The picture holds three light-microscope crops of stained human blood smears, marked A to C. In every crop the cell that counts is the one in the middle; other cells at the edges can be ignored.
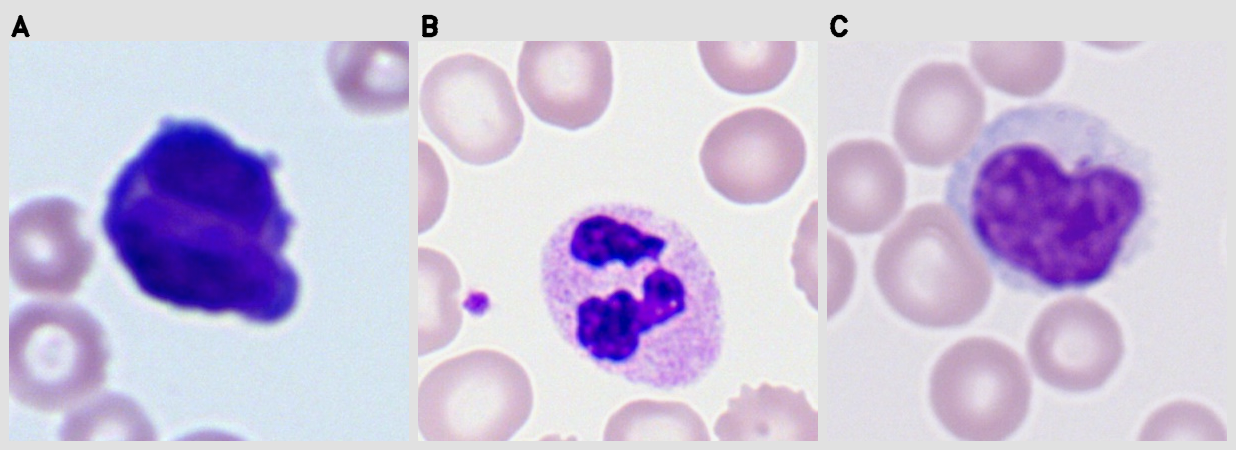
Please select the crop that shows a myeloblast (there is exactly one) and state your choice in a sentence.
The sole crop showing a myeloblast is crop A.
